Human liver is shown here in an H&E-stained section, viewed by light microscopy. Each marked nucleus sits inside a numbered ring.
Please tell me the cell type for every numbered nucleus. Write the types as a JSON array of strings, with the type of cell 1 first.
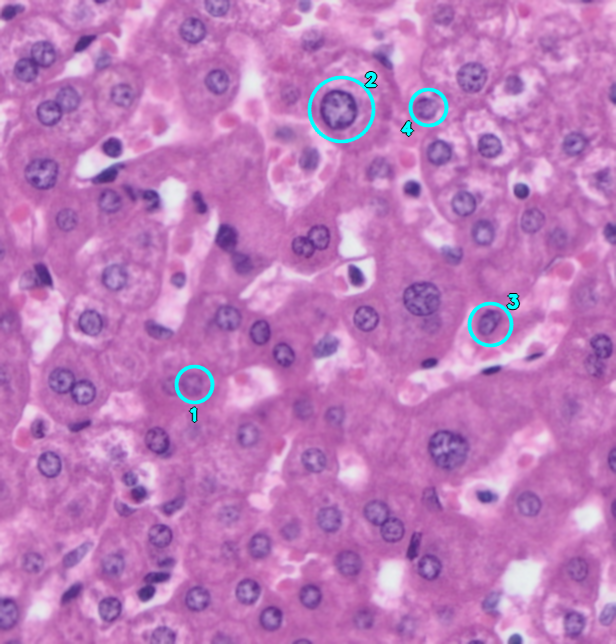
["hepatocyte", "hepatocyte", "Kupffer cell", "hepatocyte"]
